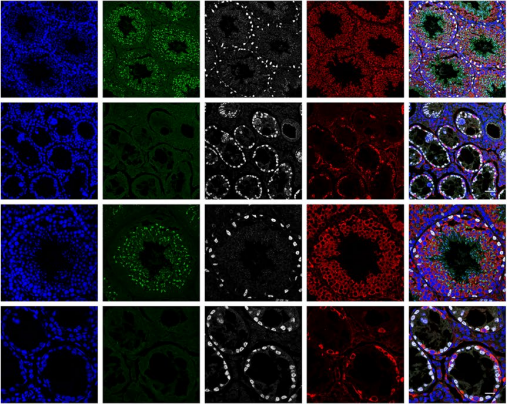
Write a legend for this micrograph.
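Cross-sections of seminiferous tubules are shown, with Sertoli cell nuclei in white lined up along the base of each tubule and germ cells in red inside the tubules. In some tubules the red cells form many layers with green granular label toward the lumen, while in other tubules red cells are scarce and the tubules look thin and emptied, bounded mostly by the white nuclei.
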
